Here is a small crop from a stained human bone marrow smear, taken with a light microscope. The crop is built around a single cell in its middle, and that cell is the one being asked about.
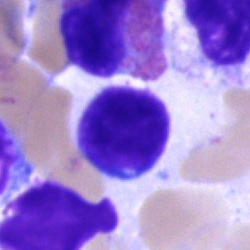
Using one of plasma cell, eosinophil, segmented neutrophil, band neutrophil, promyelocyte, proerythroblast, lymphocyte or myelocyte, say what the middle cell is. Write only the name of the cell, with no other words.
lymphocyte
